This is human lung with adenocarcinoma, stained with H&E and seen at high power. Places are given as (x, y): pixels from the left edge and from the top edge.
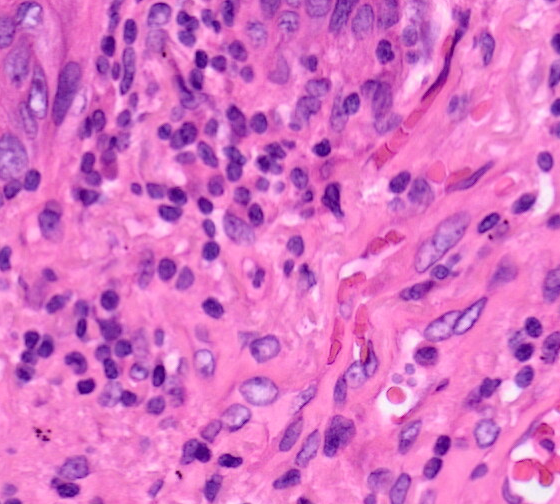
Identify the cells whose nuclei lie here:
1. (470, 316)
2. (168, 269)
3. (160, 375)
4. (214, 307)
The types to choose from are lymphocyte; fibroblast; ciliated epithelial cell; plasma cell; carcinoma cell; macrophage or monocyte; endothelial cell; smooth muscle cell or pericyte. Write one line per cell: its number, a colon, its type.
1: endothelial cell
2: lymphocyte
3: lymphocyte
4: lymphocyte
